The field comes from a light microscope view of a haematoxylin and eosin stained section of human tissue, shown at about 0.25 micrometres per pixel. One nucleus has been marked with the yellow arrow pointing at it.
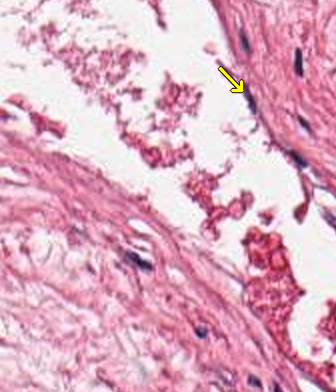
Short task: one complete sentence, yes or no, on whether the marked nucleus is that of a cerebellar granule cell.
No, the marked nucleus is located in a supporting cell and not in a cerebellar granule cell.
